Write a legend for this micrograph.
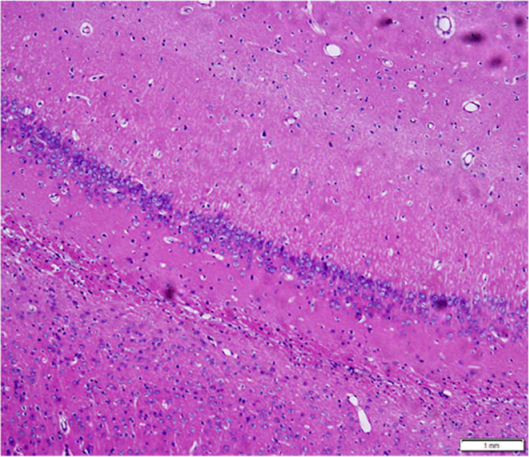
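This low-power section of the hippocampus shows a band of pyramidal neurons running diagonally across the field. Their cell bodies, with purple-stained nuclei, are densely packed into a continuous layer several cells thick. On either side lies pink-stained neuropil containing scattered small nuclei and small, round, open blood vessels. Below the band, the tissue is more cellular, with many small nuclei spread through the pink background.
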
